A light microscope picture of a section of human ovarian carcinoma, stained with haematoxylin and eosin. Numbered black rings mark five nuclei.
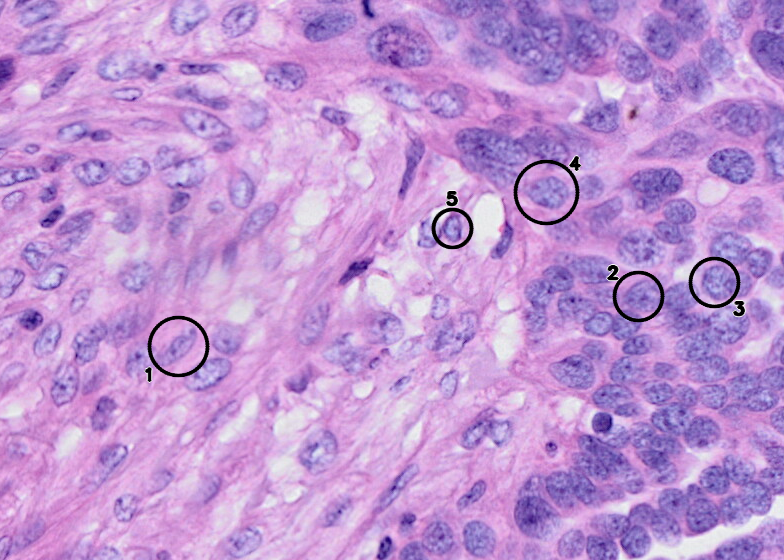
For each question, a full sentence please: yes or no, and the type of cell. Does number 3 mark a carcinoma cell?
Yes, cell number 3 is classified as a carcinoma cell.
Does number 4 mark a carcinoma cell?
Yes, in this section the cell with number 4 is a carcinoma cell.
